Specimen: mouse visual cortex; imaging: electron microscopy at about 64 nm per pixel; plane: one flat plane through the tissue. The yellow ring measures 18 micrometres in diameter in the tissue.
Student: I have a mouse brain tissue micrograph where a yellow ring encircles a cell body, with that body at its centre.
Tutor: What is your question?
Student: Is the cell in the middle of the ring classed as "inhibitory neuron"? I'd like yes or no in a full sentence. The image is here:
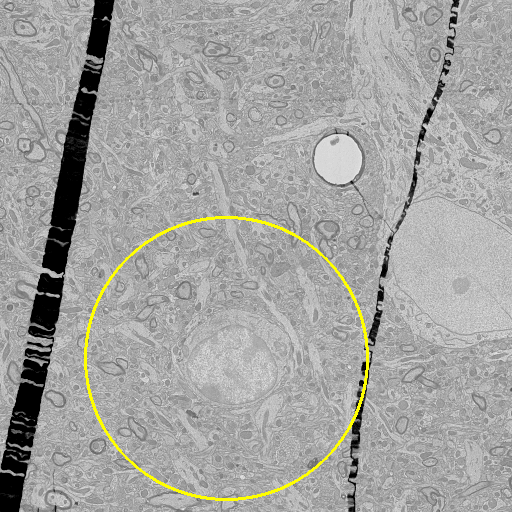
No, the ringed cell in the middle counts as another kind.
